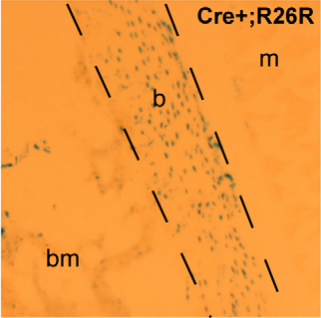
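This section shows a band of bone lying between bone marrow on one side and muscle on the other, with many osteocytes within the bone and osteoblasts at its edges stained blue. The marrow space contains loosely arranged tissue with only scattered blue spots, and the muscle on the opposite side shows essentially no blue staining against the orange background.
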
